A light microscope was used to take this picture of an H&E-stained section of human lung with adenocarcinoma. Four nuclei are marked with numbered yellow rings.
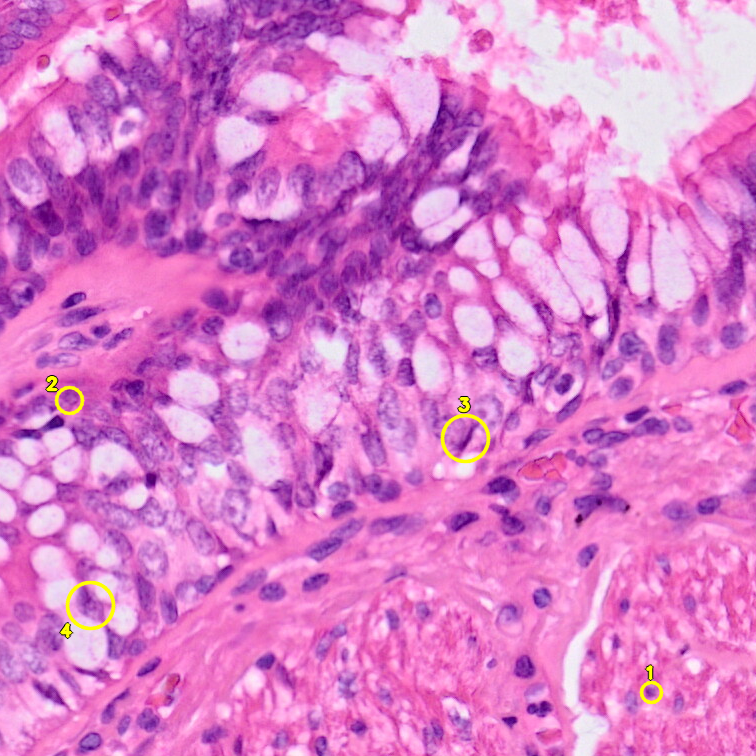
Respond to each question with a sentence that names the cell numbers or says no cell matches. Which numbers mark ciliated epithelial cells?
The cells marked by the numbers 2, 3 and 4 are ciliated epithelial cells.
